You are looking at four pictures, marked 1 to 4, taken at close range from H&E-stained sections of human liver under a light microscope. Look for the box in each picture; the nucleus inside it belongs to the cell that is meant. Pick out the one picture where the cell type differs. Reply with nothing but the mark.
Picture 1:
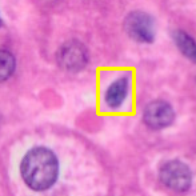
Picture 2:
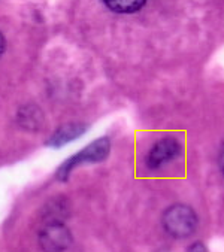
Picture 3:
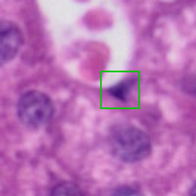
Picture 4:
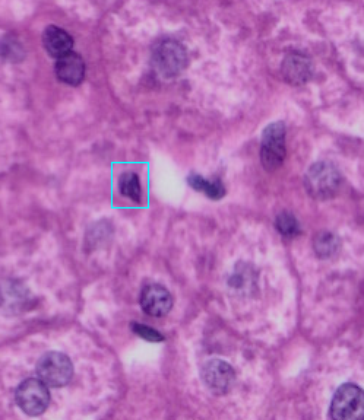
1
